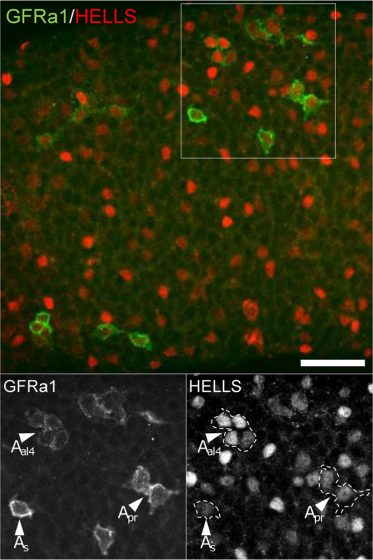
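A flat sheet of closely spaced cells is seen from above, with many rounded nuclei stained red of varying brightness. A few larger cells are outlined by a green rim at their surface, lying alone, in pairs, or in short chains of linked cells. These green-outlined cells are spermatogonia, and the singles, pairs and chains of four are the successive forms of these undifferentiated cells. In the grayscale insets the red channel shows that the nuclei of these outlined cells differ in brightness, some bright and some faint.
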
